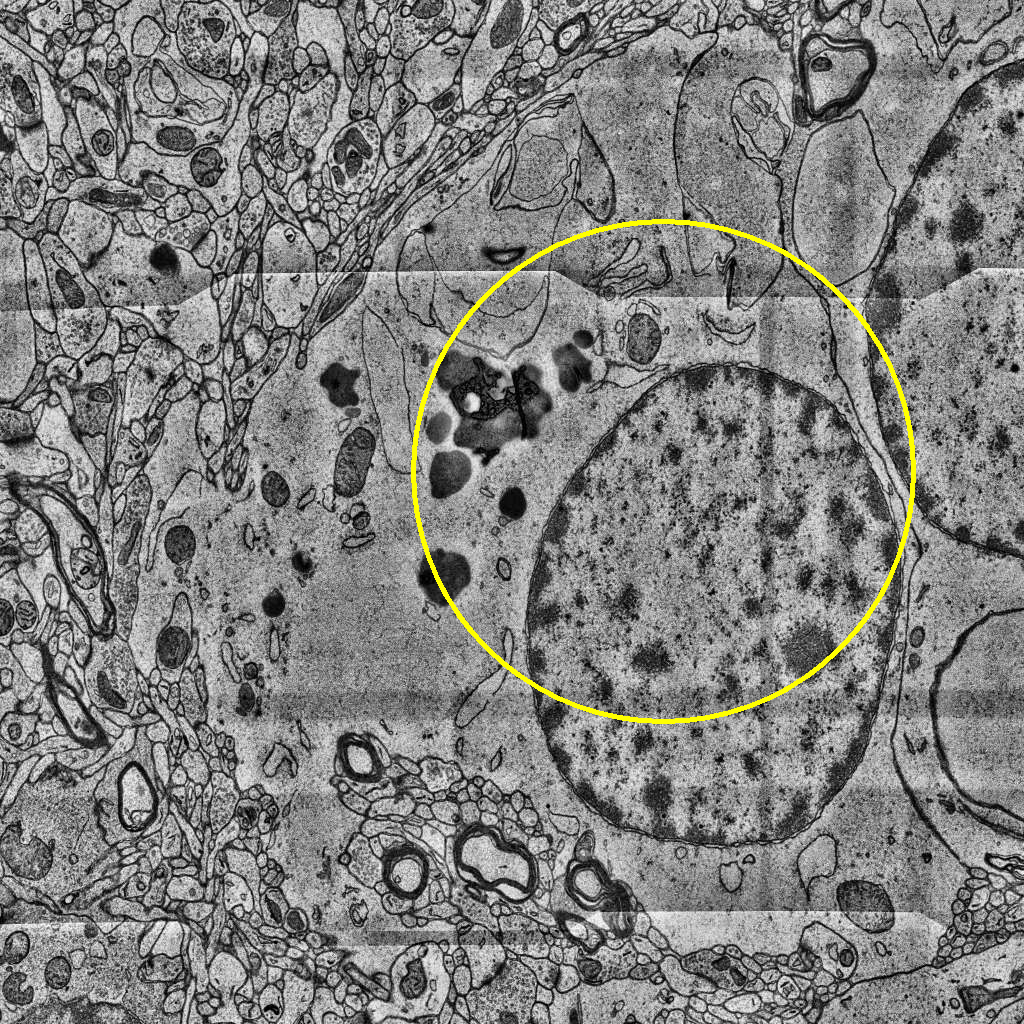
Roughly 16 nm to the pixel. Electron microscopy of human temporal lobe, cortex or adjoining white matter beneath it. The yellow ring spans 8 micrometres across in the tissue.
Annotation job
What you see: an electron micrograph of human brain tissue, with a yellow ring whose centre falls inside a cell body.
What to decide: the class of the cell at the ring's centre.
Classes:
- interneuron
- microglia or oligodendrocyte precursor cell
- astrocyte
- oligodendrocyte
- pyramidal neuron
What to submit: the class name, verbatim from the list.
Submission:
astrocyte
